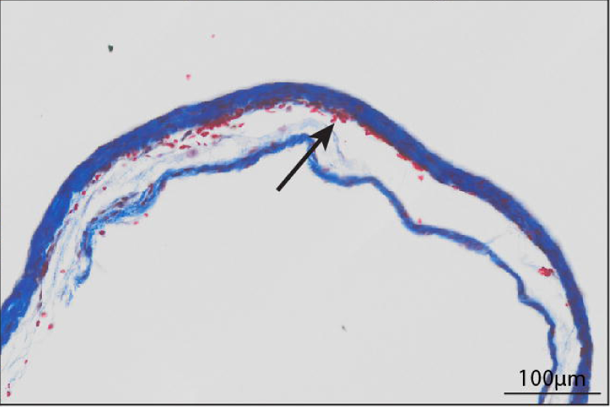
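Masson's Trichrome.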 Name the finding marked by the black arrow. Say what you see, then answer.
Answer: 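Haemorrhage. Small round red-staining cells lie within the blue-stained connective tissue layers. The red cells are not contained in a vessel.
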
